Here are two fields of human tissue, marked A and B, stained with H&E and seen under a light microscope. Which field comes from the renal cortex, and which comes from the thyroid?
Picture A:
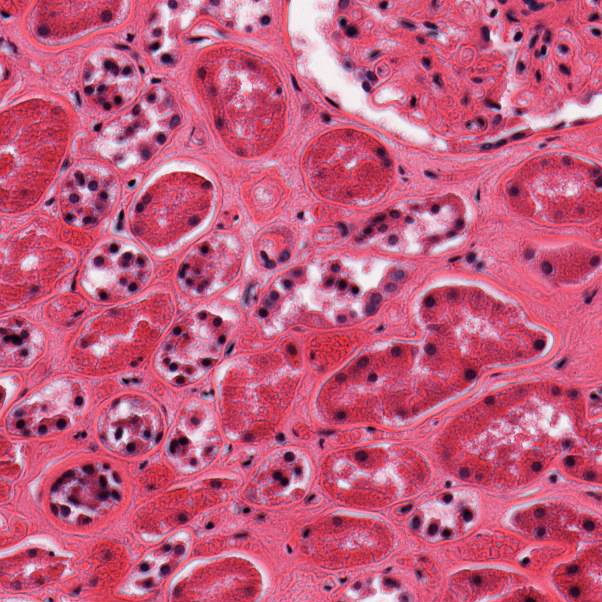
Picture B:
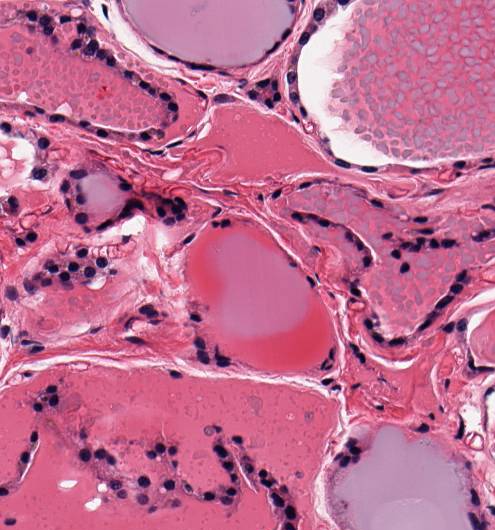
A: renal cortex
B: thyroid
